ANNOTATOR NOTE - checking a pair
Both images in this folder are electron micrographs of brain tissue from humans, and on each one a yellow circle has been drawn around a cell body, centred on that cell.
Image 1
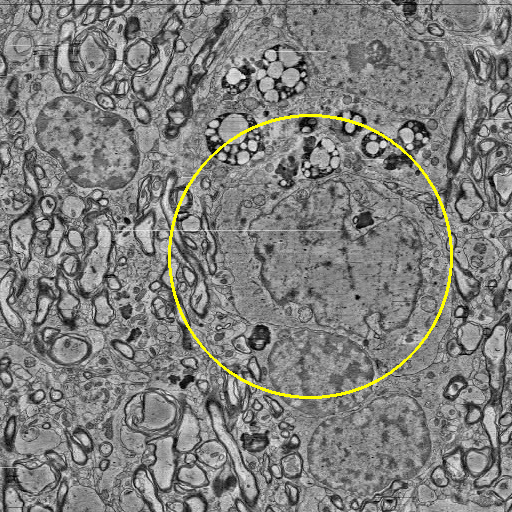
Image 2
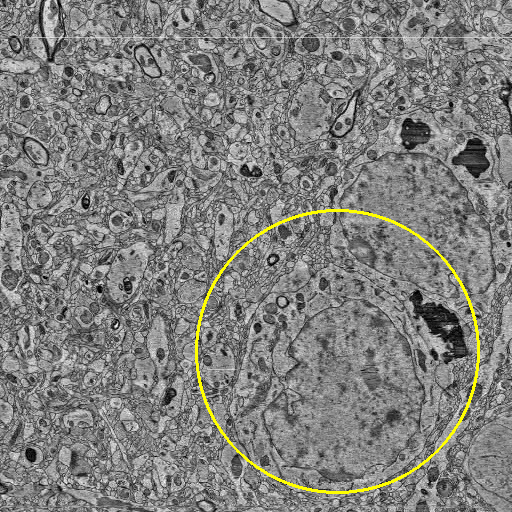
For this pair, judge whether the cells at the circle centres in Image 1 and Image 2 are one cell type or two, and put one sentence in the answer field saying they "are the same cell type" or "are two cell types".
For this pair, the cells at the circle centres in Images 1 and 2 are the same cell type.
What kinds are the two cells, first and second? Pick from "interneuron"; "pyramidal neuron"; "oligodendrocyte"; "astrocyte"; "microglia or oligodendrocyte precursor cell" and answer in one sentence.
Each of the two rings is centred on an interneuron.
